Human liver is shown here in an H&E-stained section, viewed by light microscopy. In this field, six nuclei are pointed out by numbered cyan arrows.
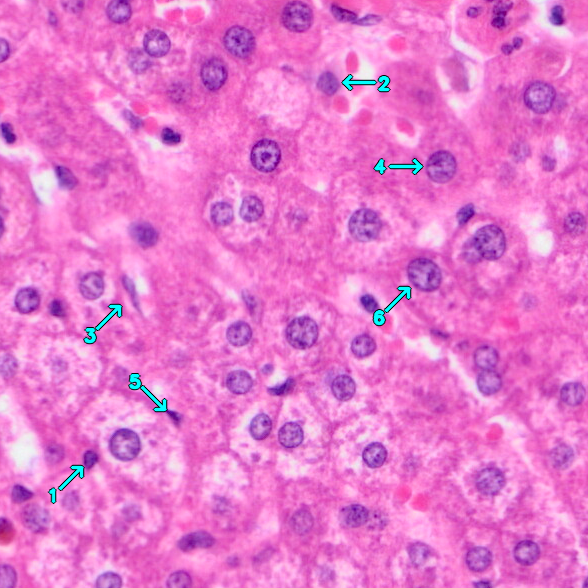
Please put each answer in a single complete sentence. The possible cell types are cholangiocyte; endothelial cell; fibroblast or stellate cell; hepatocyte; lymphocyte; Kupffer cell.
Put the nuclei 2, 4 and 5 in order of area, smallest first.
The order from the smallest nucleus to the largest is 5, 2, 4.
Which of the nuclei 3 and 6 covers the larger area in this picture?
It is nucleus 6, which covers about 2.5 times the area of nucleus 3.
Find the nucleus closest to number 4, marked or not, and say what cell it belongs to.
The nearest nucleus to number 4 belongs to a fibroblast or stellate cell.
